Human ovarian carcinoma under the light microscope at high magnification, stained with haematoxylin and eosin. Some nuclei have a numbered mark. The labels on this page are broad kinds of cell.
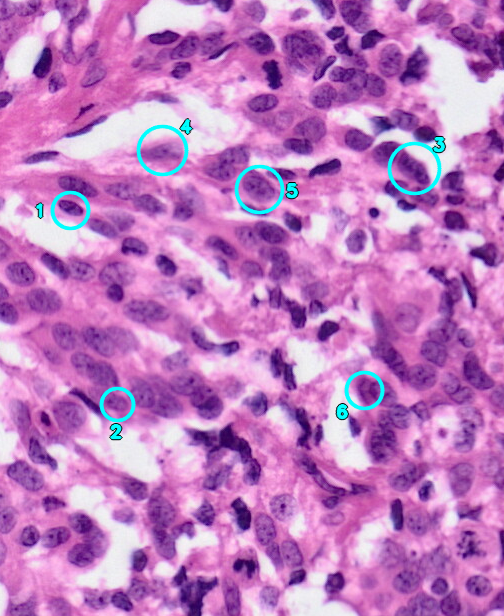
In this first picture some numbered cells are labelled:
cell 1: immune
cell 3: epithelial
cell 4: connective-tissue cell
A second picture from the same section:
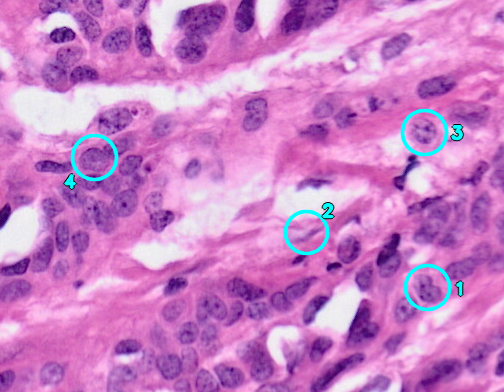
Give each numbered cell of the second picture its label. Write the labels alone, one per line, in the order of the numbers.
immune
connective-tissue cell
immune
epithelial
